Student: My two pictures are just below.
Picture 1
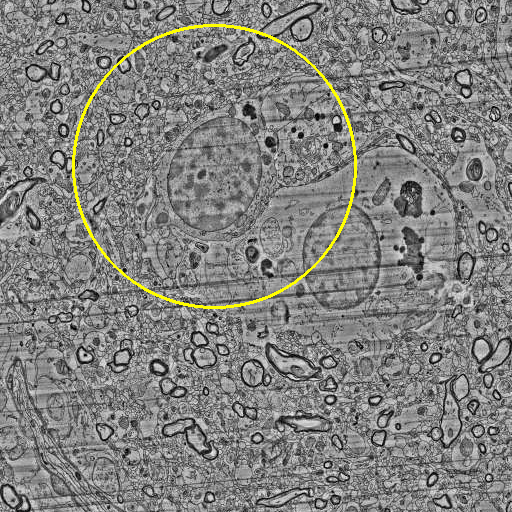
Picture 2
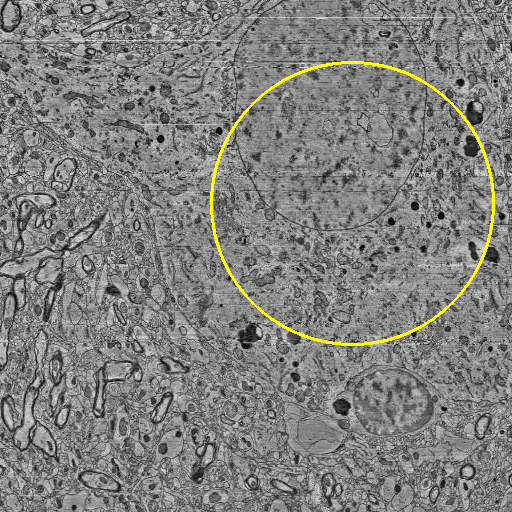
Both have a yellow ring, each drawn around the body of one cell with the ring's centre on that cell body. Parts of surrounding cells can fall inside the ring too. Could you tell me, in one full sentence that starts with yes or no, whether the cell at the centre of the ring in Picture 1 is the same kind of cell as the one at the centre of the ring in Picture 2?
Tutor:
No, the two cells are of two kinds.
